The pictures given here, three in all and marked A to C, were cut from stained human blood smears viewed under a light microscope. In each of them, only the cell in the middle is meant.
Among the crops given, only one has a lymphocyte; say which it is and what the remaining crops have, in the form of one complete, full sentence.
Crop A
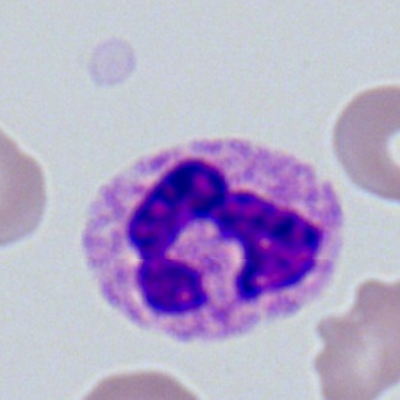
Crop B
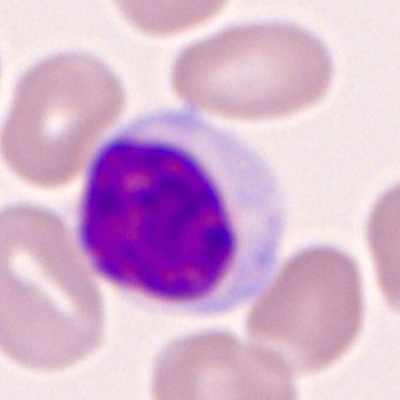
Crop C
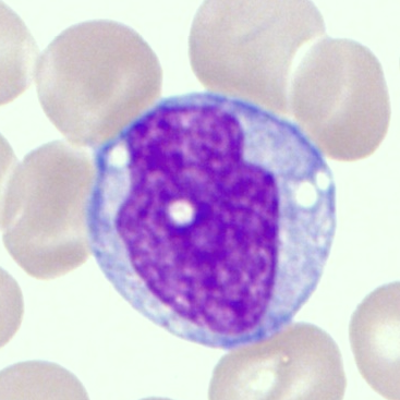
The crop labelled B shows a lymphocyte, whereas crop A is a segmented neutrophil and crop C is a monocyte.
